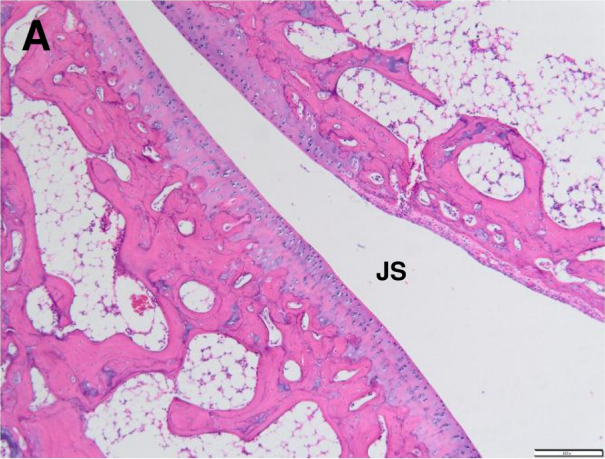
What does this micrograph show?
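A synovial joint in which two articular surfaces face each other across a wide, empty joint space. Beneath the cartilage lie pink-staining trabeculae of bone containing scattered osteocytes, enclosing marrow spaces filled with pale fat cells and scattered small haematopoietic cells. The cartilage surfaces are unbroken and the space between them is regular, with no cells lying free in the cavity.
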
